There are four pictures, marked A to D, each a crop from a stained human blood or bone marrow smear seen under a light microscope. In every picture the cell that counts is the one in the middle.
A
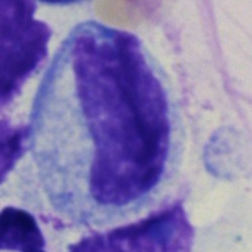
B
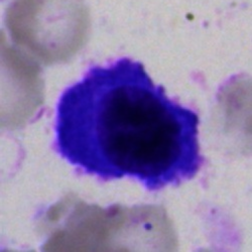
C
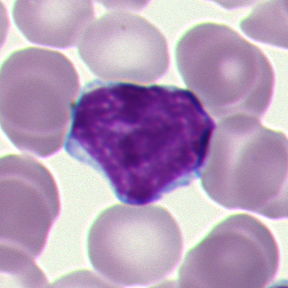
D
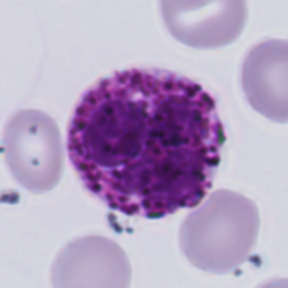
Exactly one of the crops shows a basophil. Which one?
D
